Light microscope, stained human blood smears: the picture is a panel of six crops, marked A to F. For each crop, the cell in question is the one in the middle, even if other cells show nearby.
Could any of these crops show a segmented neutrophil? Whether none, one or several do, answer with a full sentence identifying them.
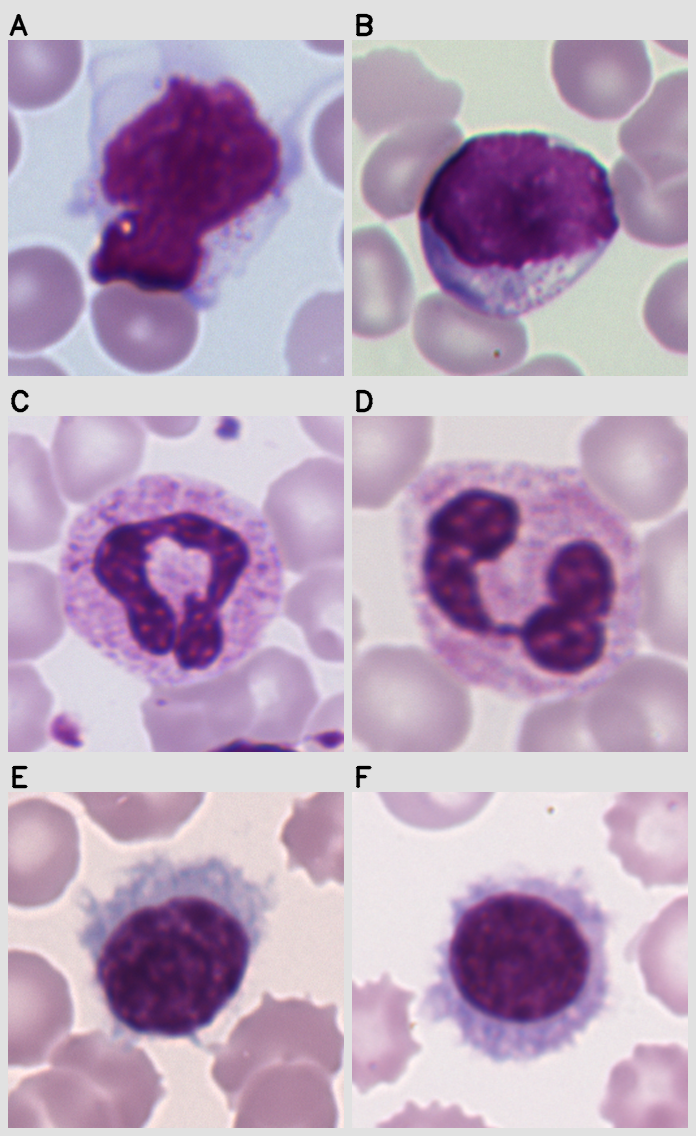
Crops C and D show segmented neutrophils at their centres.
